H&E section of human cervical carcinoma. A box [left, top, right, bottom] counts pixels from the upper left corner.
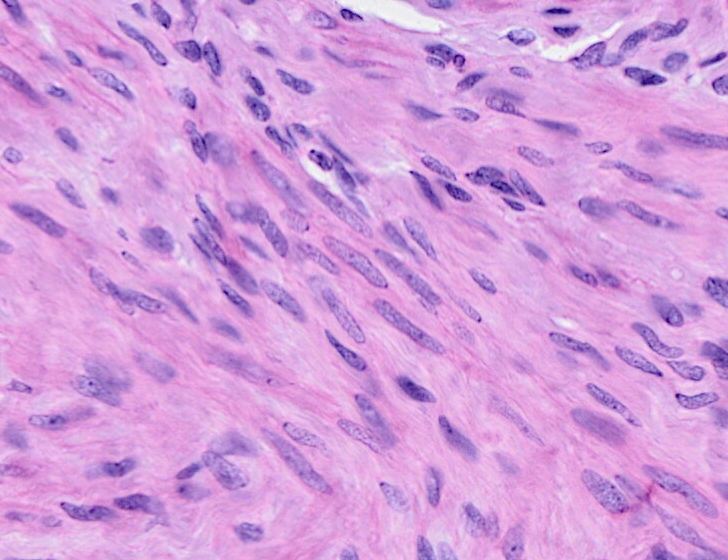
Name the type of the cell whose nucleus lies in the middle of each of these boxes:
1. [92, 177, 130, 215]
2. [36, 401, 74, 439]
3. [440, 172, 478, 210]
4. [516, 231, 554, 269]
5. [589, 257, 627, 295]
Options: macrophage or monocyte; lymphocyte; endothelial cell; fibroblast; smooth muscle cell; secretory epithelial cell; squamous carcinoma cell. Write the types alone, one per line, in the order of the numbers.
fibroblast
smooth muscle cell
fibroblast
fibroblast
smooth muscle cell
